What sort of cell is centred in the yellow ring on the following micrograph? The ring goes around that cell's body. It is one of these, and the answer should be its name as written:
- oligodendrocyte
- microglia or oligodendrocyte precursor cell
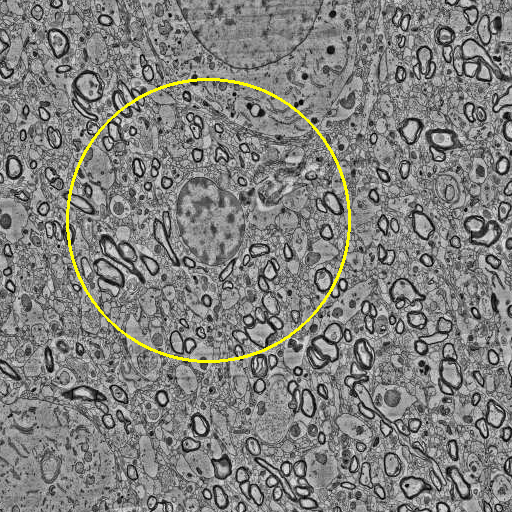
microglia or oligodendrocyte precursor cell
